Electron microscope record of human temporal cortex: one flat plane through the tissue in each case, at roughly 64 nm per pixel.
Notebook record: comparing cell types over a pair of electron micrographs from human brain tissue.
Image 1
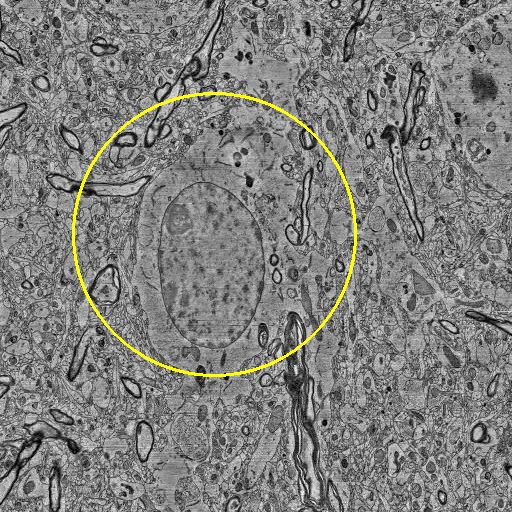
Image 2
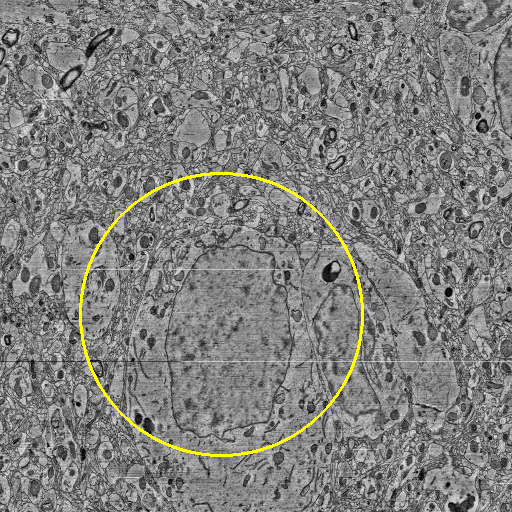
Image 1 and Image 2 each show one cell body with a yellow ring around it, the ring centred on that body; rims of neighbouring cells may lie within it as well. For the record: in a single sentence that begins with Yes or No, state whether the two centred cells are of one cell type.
No, two cell types are found among the centred cells of Image 1 and Image 2.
